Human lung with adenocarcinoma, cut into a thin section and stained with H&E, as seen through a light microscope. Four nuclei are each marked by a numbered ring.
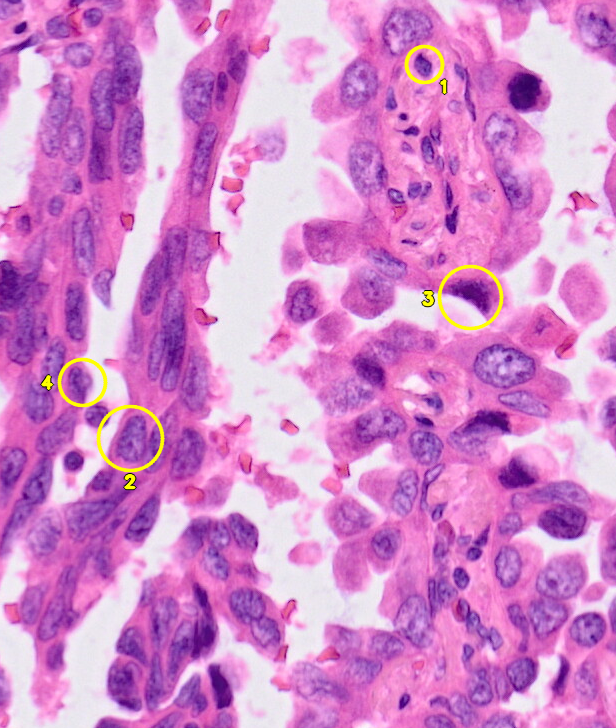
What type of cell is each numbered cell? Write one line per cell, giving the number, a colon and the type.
1: lymphocyte
2: carcinoma cell
3: carcinoma cell
4: carcinoma cell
